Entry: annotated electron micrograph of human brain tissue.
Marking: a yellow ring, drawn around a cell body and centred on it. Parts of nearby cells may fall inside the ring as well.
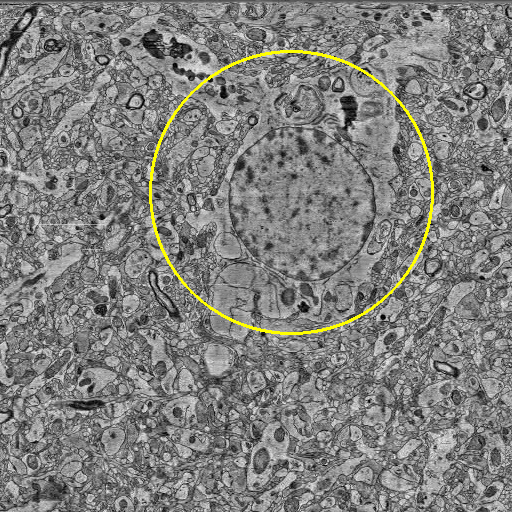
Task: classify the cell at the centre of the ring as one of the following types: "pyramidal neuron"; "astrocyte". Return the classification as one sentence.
The marked cell is classified as an astrocyte.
